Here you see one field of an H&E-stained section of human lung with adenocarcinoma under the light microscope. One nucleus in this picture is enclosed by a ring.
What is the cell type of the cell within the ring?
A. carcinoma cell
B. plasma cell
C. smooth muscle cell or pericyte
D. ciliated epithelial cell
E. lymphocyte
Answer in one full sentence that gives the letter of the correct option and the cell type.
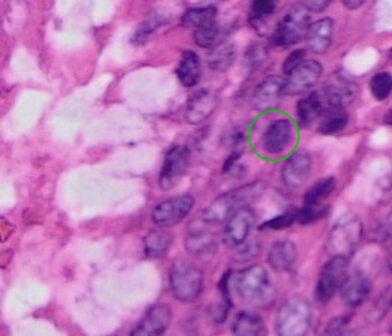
Option D is right, and the cell within the ring is a ciliated epithelial cell.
